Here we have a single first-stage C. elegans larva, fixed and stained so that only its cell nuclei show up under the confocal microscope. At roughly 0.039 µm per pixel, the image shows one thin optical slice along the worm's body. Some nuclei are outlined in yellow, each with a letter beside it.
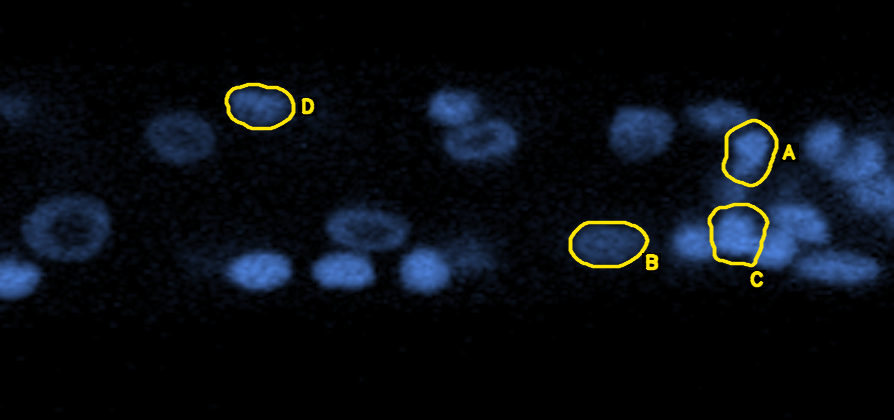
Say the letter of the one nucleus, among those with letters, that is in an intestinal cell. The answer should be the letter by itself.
B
